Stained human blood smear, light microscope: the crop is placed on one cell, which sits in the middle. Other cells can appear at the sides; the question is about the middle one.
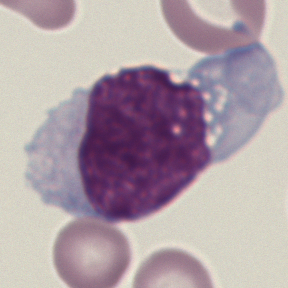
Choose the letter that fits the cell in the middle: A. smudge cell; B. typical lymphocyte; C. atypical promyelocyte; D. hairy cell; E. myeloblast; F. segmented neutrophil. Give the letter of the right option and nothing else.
E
